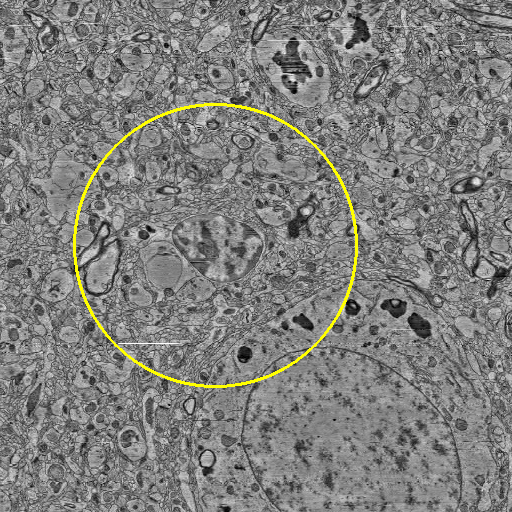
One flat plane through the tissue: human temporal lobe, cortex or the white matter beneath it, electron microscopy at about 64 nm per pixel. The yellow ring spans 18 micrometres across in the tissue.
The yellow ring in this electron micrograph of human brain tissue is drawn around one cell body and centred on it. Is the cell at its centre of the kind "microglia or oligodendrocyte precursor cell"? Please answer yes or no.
yes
